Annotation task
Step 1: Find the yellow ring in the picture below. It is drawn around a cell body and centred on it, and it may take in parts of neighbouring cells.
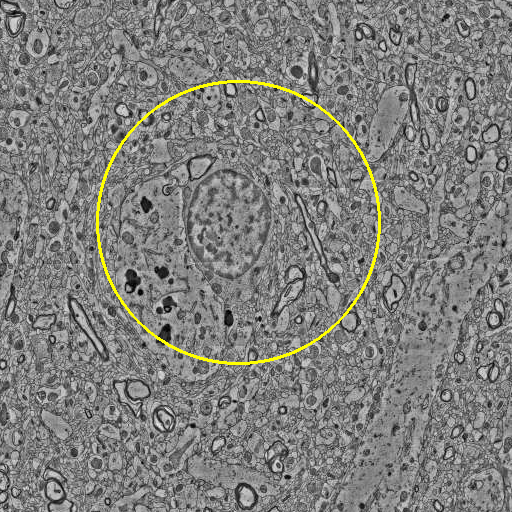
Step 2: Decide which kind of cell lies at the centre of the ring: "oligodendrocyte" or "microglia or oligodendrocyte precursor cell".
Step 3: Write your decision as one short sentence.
The kind of cell at the ring's centre is an oligodendrocyte.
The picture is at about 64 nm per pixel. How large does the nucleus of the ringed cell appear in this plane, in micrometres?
About 7 by 5 micrometres in this plane.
